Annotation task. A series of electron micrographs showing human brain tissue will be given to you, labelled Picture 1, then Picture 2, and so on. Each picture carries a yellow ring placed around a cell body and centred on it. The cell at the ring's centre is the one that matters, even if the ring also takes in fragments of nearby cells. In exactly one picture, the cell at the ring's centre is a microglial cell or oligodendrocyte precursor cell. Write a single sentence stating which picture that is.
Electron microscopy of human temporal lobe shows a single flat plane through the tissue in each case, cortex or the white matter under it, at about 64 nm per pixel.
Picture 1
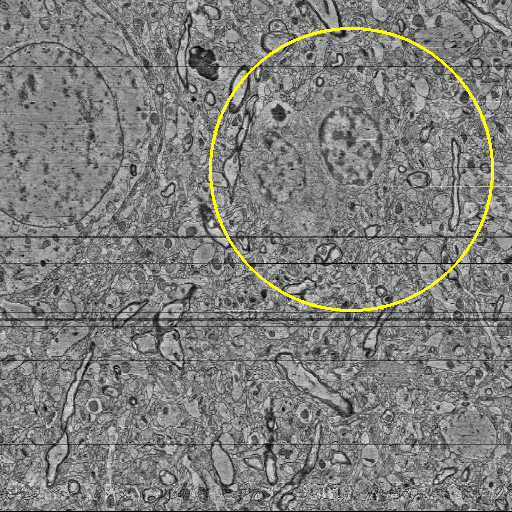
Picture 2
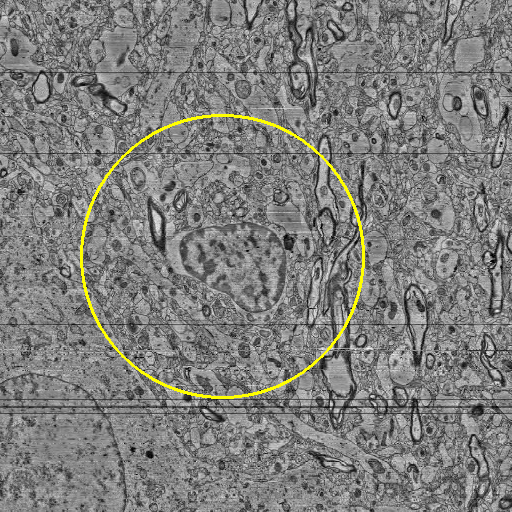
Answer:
Picture 2 holds the requested cell at the very centre of its ring.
